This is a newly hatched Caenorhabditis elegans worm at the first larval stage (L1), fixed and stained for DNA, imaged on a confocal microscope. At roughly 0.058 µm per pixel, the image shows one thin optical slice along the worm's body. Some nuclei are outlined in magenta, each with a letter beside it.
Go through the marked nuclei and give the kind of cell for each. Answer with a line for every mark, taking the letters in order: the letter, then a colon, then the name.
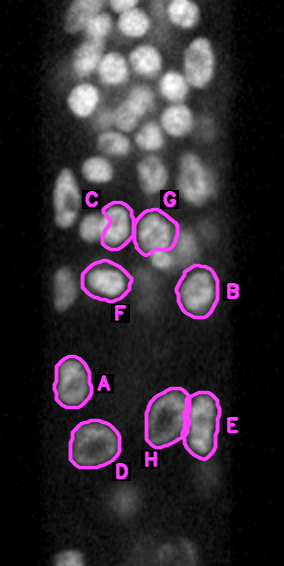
A: body wall muscle cell
B: body wall muscle cell
C: pharyngeal marginal cell
D: intestinal cell
E: body wall muscle cell
F: valve cell of the gut
G: pharyngeal muscle cell
H: intestinal cell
